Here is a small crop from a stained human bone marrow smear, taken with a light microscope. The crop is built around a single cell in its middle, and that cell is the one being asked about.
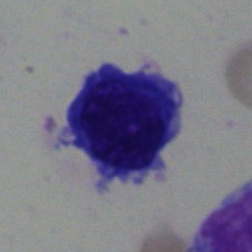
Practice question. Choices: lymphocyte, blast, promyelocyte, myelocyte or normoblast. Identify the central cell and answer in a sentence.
The crop shows a normoblast in its centre.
